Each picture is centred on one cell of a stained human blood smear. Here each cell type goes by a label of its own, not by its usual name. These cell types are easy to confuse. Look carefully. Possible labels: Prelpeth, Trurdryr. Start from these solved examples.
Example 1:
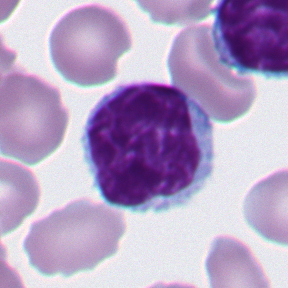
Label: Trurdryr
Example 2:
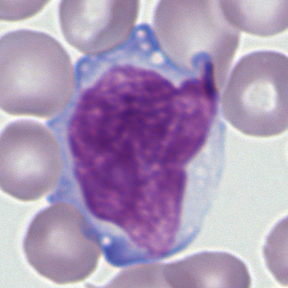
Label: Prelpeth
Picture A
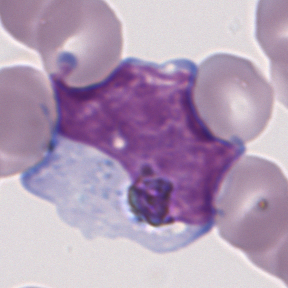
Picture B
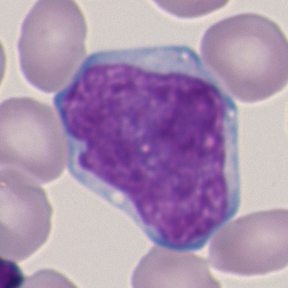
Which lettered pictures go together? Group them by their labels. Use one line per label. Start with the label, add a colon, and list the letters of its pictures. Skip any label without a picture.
Prelpeth: A, B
